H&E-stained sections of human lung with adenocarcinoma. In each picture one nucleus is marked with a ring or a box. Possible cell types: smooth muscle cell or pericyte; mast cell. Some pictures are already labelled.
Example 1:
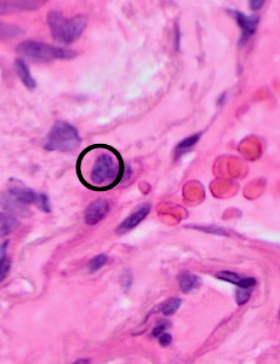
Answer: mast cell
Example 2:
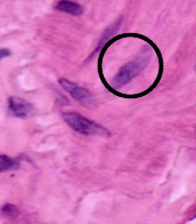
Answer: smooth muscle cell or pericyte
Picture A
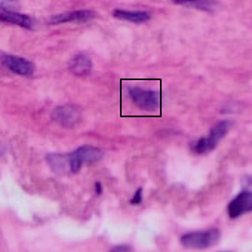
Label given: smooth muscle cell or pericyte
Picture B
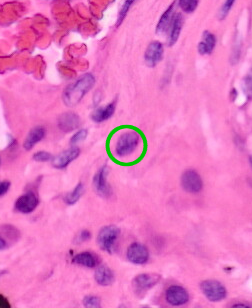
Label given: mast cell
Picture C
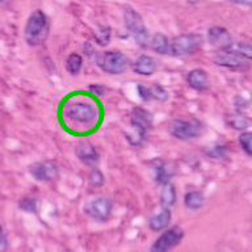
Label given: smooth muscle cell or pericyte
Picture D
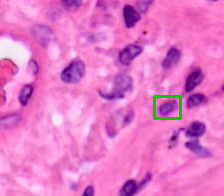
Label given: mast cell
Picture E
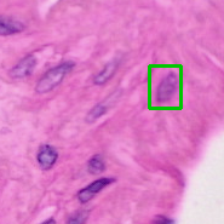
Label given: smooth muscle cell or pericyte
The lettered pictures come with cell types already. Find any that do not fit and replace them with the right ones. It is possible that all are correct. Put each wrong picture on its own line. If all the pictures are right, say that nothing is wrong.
Nothing to fix; every label fits.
